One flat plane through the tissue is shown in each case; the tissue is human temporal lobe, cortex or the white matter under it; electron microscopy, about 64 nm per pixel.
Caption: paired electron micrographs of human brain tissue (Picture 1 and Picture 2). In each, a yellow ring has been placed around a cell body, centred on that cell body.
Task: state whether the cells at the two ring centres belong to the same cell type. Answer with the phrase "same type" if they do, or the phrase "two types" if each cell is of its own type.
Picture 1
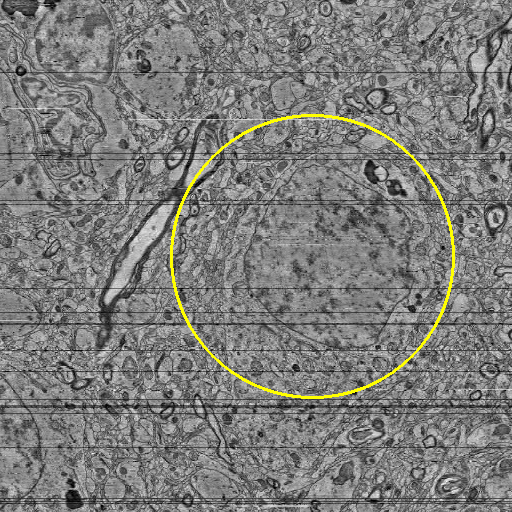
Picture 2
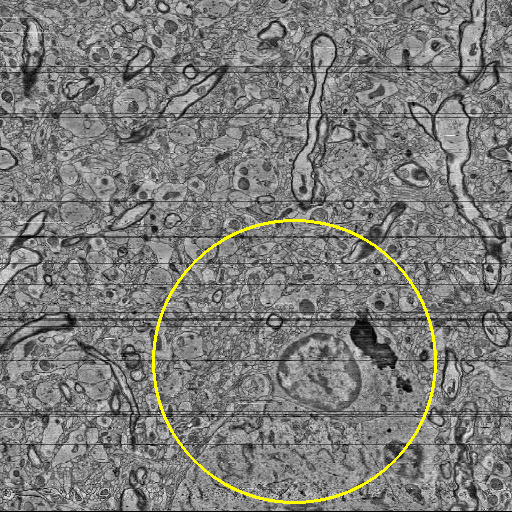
two types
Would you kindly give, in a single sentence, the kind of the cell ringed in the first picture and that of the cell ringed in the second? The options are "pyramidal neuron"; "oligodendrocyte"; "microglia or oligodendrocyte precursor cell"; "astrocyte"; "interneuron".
The second cell is an oligodendrocyte, and the first cell is a pyramidal neuron.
